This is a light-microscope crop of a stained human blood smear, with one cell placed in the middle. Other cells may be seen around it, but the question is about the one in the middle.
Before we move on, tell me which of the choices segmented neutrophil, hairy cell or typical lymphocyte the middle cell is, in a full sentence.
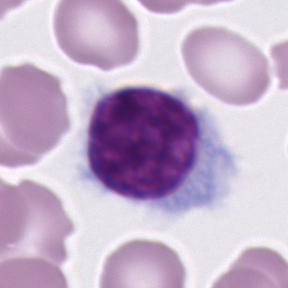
This crop is built around a hairy cell at its centre.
